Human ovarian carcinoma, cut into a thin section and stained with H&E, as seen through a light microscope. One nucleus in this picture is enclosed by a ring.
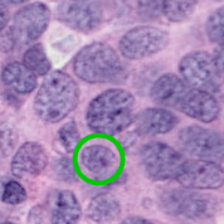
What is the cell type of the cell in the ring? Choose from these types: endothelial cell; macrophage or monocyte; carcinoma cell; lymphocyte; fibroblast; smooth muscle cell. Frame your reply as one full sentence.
At the level of cell identity, the cell in the ring is a carcinoma cell.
